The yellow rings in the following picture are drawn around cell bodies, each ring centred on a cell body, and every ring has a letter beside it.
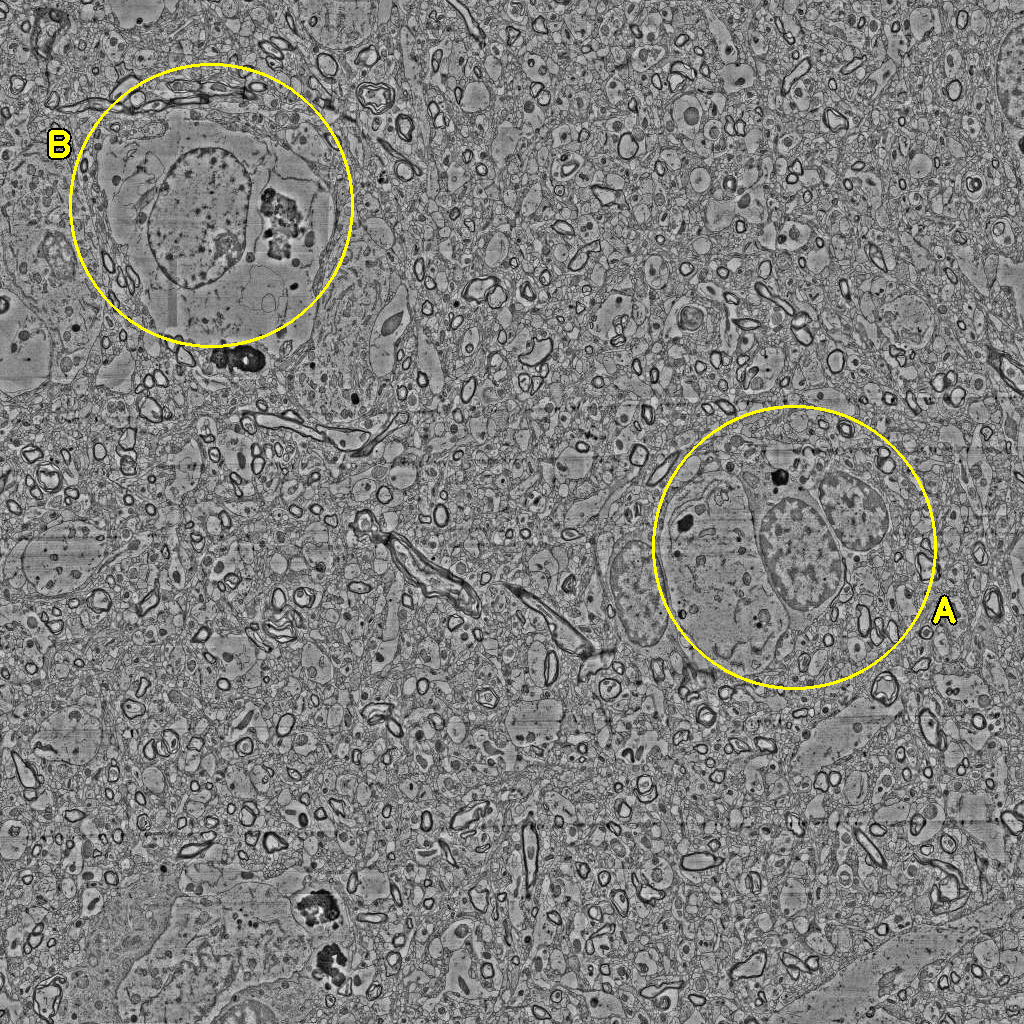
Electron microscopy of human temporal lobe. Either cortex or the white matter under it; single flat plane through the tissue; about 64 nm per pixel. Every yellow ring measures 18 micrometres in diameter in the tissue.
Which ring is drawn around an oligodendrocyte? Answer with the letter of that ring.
A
